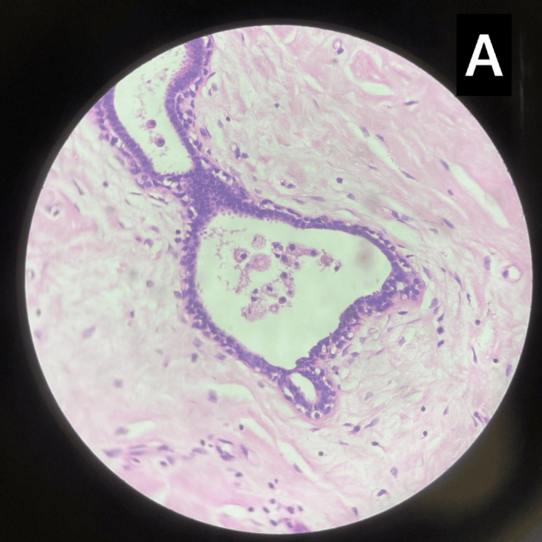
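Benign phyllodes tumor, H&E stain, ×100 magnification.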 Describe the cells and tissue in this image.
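Branching duct set in fibrous stroma, with foamy macrophages in its lumen. The duct is lined by a continuous layer of epithelial cells with dark purple nuclei, locally several cells thick. Within the pale lumen lie small loose clusters of rounded cells with pale, vacuolated cytoplasm. A small side branch arises at the lower end of the duct. The surrounding stroma is pink and collagenous, with sparse spindle-shaped nuclei.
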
